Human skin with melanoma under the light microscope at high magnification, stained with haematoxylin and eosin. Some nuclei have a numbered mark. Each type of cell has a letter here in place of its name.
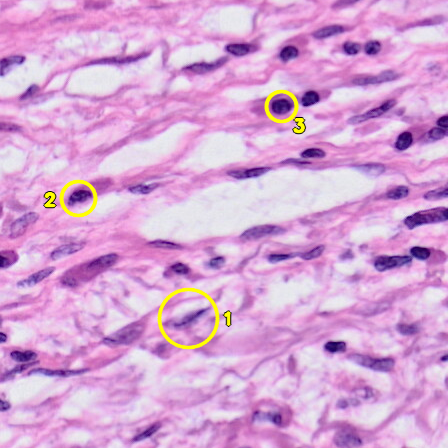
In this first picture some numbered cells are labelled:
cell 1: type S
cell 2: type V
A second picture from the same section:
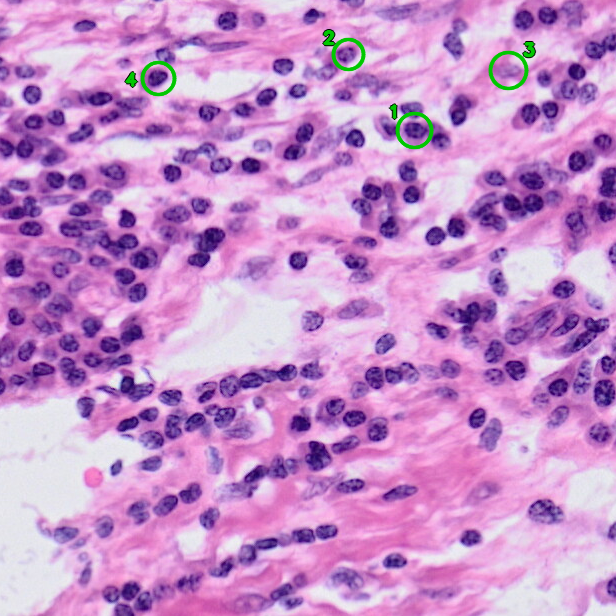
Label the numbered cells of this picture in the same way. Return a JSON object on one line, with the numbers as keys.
{"1": "type V", "2": "type V", "3": "type S", "4": "type V"}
